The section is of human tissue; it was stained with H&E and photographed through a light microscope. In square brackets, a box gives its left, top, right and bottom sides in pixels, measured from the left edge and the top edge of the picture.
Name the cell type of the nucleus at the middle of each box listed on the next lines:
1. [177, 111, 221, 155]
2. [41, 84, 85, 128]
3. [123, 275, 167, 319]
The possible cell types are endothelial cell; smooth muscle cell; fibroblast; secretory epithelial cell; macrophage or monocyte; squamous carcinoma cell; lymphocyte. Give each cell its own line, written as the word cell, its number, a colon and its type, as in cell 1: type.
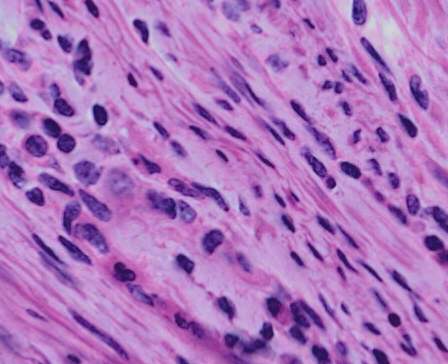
cell 1: fibroblast
cell 2: lymphocyte
cell 3: endothelial cell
